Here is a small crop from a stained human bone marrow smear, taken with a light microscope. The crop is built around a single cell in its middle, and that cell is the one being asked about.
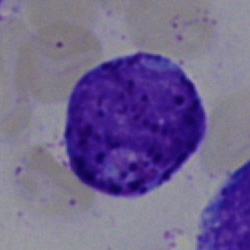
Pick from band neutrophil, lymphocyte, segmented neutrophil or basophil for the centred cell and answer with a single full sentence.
As for the central cell, it is a basophil.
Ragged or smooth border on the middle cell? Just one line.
Worth noting that the cell border is smooth and lacks projections.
